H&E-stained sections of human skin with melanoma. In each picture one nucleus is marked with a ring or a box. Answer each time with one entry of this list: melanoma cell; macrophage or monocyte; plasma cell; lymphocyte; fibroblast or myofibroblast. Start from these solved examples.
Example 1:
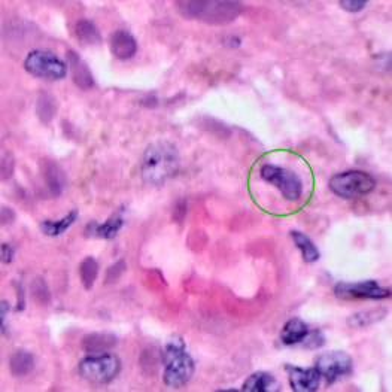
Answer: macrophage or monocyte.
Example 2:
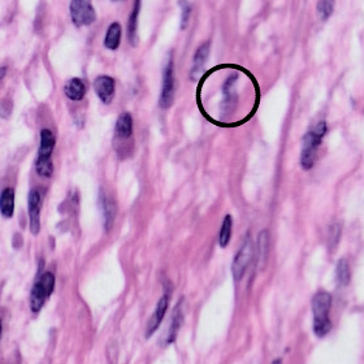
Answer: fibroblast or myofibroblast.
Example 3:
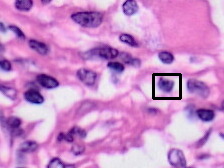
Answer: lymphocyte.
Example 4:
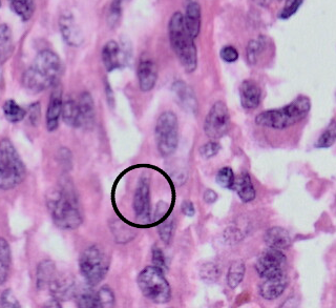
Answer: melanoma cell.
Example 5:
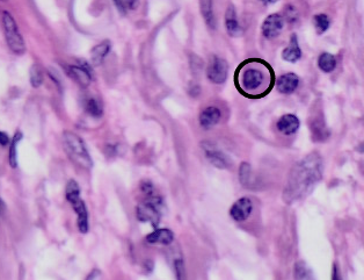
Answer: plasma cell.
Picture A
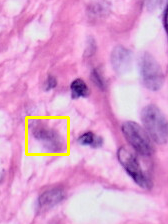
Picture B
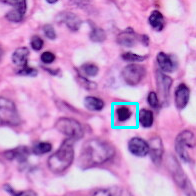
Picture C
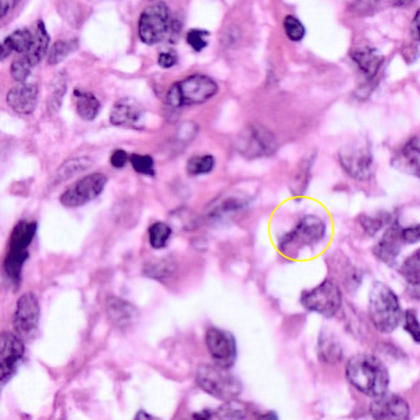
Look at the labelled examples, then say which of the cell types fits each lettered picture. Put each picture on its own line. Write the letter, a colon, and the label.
A: fibroblast or myofibroblast.
B: lymphocyte.
C: melanoma cell.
